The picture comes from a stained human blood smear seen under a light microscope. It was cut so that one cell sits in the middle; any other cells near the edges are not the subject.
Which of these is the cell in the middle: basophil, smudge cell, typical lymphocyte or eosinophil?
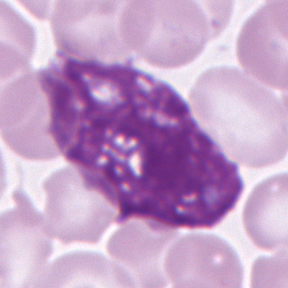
smudge cell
